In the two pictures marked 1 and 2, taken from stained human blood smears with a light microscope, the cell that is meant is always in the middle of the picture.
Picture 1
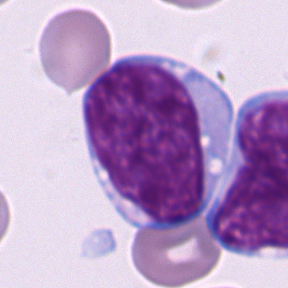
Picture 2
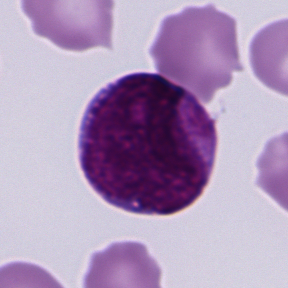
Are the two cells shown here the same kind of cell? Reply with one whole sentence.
Yes, both are myeloblasts.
